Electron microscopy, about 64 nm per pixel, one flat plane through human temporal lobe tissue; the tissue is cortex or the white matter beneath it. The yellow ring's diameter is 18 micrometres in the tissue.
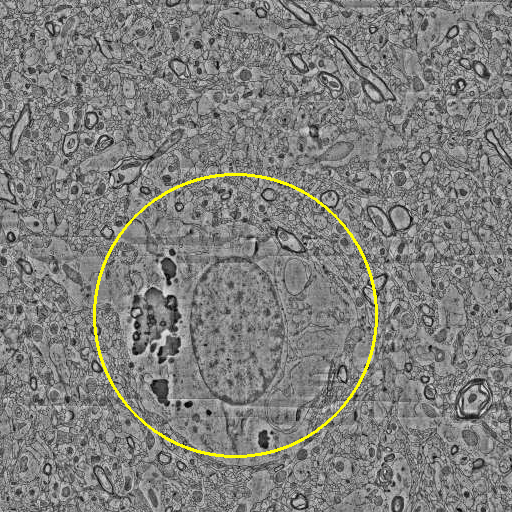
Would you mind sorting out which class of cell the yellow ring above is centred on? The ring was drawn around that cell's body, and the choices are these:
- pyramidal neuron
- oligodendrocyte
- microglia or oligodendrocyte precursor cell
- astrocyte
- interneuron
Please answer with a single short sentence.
This is the cell body of an astrocyte.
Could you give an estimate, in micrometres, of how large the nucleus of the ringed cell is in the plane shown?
Approximately 9 micrometres long and 6 micrometres wide, so clearly longer than it is wide in this plane.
